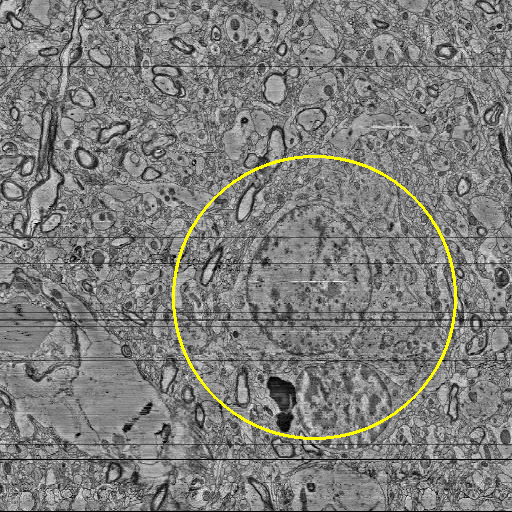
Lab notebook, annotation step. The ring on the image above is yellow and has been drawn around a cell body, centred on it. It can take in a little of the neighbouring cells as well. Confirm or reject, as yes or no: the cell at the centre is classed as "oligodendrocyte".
No, the cell is of another class.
